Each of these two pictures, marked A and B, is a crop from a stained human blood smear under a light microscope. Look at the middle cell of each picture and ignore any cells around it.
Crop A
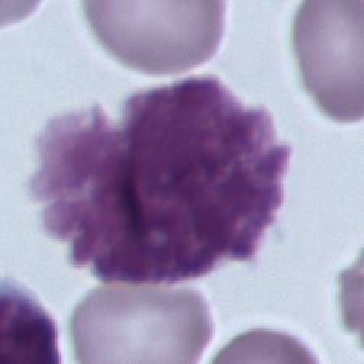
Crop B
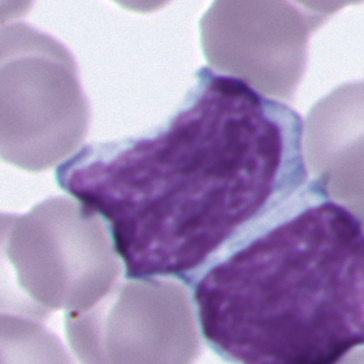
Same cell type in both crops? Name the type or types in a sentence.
No, a smudge cell is depicted by crop A, a typical lymphocyte by crop B.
